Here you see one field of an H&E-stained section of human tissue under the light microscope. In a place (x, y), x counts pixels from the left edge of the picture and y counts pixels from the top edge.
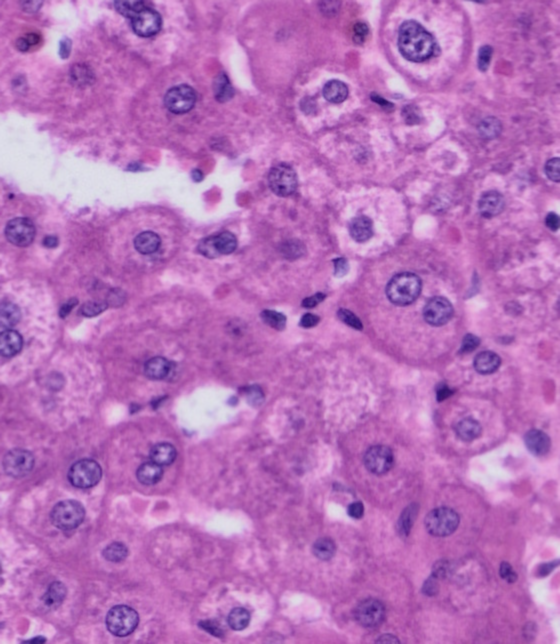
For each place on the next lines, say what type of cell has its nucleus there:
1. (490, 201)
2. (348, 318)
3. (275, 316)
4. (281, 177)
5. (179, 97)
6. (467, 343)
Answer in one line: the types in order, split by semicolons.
hepatocyte; fibroblast or stellate cell; endothelial cell; hepatocyte; hepatocyte; fibroblast or stellate cell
